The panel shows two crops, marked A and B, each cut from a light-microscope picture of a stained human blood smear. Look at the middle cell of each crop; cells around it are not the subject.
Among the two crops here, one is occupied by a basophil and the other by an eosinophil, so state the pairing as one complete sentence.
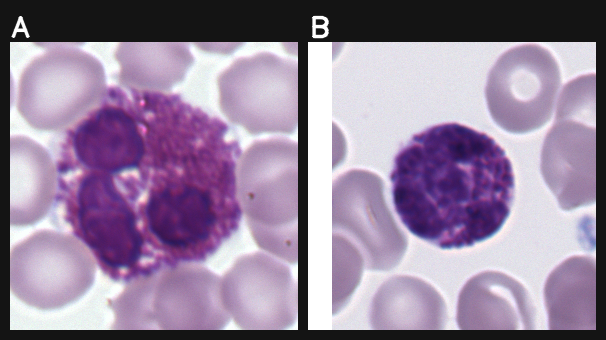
Crop A features an eosinophil, and crop B features a basophil.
